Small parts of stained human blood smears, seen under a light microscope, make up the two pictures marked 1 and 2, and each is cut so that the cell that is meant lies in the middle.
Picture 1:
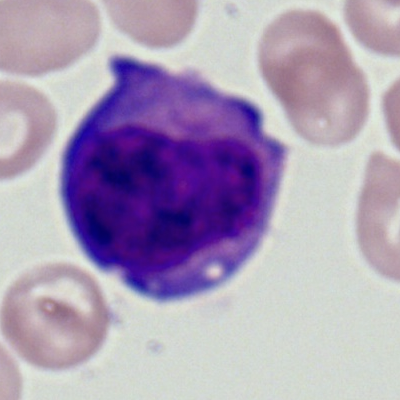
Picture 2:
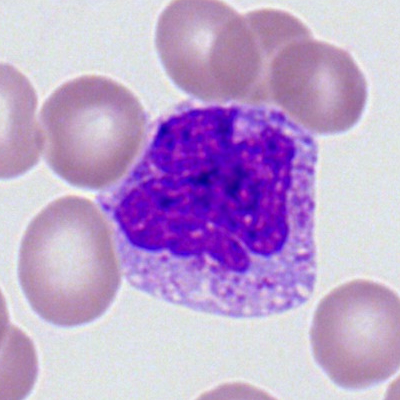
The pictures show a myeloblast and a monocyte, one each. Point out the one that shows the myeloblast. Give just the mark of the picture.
1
